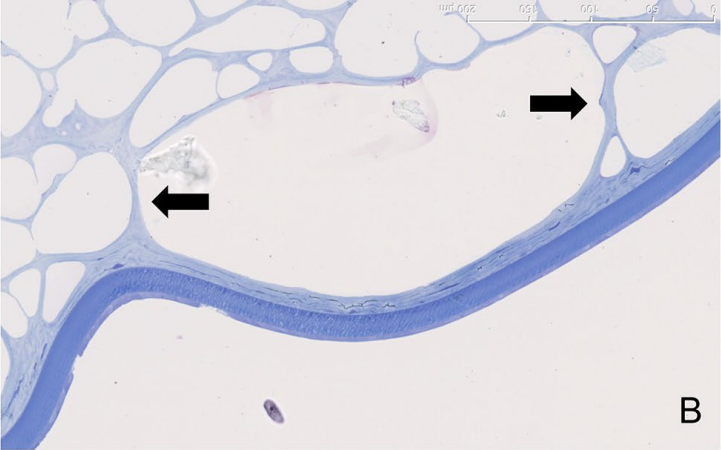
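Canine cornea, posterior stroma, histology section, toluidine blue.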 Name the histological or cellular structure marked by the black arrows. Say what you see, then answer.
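The arrows point to thin pale blue strands bridging between large empty spaces. The strands run toward the thin dense layer at the bottom of the panel. So: thin strands of collagen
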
